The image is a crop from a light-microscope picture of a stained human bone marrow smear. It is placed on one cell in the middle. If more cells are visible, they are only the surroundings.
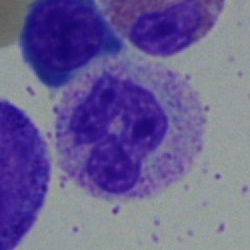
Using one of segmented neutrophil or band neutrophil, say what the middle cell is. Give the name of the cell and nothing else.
segmented neutrophil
